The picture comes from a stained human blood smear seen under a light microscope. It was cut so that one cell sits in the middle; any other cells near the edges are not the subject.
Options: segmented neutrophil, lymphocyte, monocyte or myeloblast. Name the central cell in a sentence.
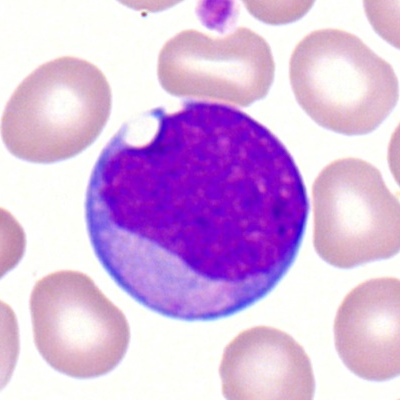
The centrally located cell in the crop is a myeloblast.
